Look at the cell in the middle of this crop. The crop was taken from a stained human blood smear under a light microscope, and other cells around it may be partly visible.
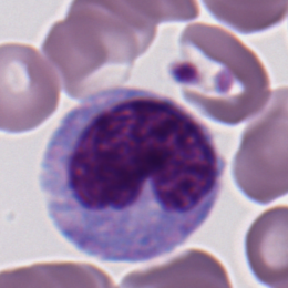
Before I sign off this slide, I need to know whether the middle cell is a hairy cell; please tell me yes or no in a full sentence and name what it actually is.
No, the cell sitting in the middle is a monocyte, and it is not a hairy cell.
